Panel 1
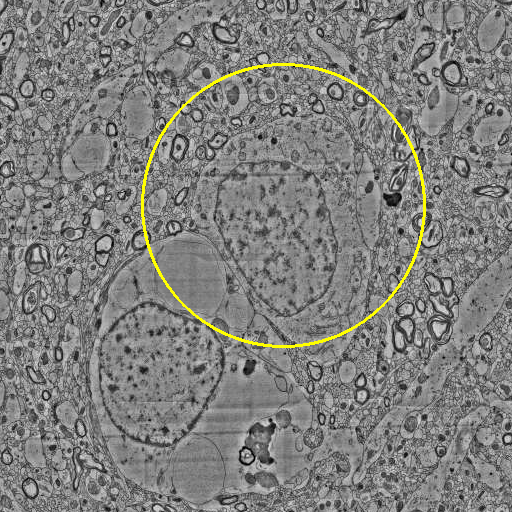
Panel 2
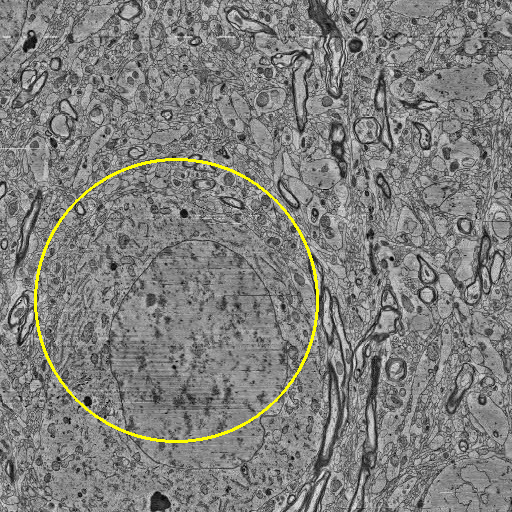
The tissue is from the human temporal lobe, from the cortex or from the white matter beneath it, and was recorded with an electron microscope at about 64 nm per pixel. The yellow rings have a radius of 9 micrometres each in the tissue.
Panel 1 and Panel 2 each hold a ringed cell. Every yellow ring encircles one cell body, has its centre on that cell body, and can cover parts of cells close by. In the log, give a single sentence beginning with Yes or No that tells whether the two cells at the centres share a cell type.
Yes, in Panel 1 and Panel 2 the centred cells share a cell type.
